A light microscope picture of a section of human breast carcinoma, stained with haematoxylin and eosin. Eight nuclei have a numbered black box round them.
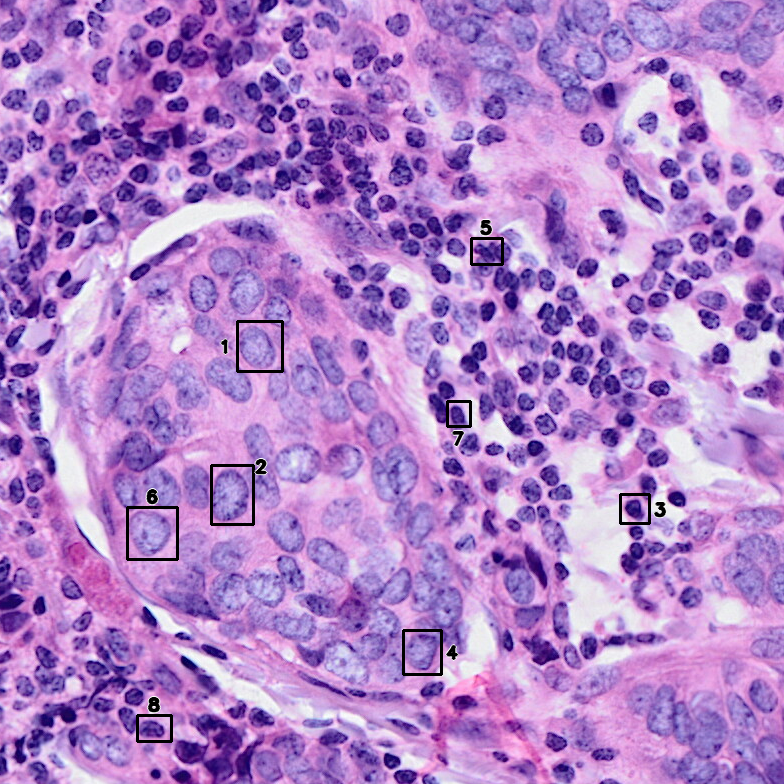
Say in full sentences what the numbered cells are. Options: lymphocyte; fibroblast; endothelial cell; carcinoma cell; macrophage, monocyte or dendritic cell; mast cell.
Cell 1 is a carcinoma cell, cell 2 is a carcinoma cell, cell 3 is a lymphocyte, cell 4 is a carcinoma cell, cell 5 is a lymphocyte, cell 6 is a carcinoma cell, cell 7 is a lymphocyte and cell 8 is a lymphocyte.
